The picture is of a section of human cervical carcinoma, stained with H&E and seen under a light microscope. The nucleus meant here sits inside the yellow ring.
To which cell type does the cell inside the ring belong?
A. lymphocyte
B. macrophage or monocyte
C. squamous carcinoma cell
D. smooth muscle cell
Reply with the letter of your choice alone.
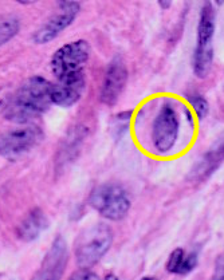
B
